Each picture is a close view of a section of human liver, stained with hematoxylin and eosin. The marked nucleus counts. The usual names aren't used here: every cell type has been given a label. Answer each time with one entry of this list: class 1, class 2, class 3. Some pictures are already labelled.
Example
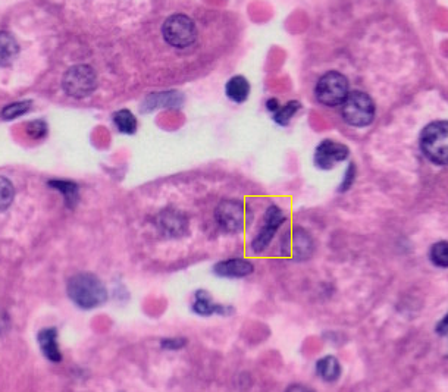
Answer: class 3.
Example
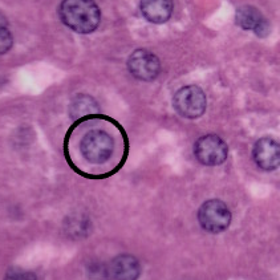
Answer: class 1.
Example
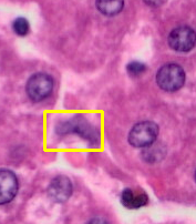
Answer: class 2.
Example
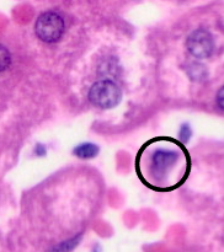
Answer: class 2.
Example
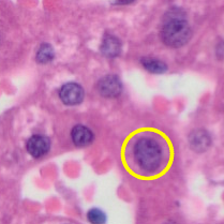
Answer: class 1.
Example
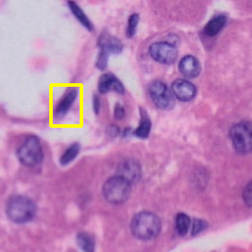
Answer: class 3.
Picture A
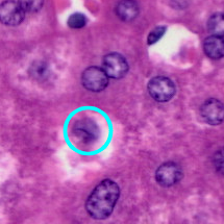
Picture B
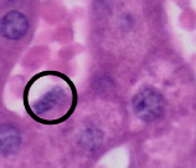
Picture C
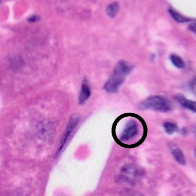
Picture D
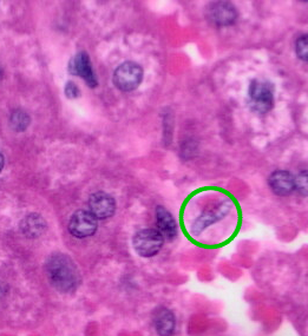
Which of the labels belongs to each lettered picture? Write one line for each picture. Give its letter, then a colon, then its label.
A: class 2.
B: class 2.
C: class 3.
D: class 2.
